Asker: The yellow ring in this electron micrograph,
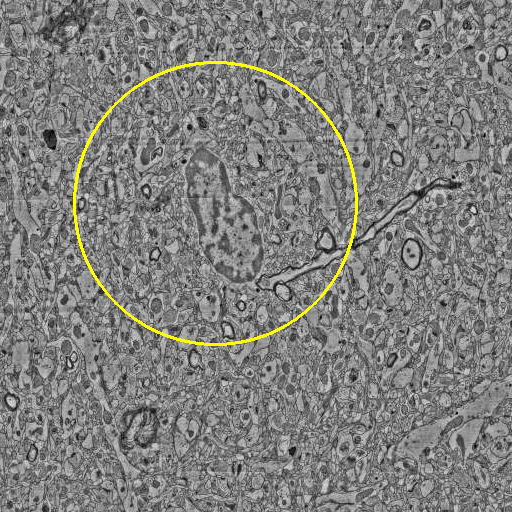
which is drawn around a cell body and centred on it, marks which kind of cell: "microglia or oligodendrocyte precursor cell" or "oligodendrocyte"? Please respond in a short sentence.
The marked cell is a microglial cell or oligodendrocyte precursor cell.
